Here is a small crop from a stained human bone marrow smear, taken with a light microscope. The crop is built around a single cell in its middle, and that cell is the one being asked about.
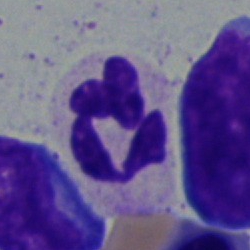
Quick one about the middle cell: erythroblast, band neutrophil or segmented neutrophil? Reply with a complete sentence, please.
The cell centered in this field of view is a segmented neutrophil.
